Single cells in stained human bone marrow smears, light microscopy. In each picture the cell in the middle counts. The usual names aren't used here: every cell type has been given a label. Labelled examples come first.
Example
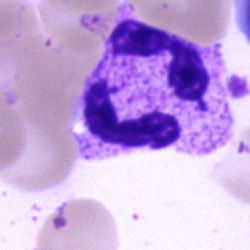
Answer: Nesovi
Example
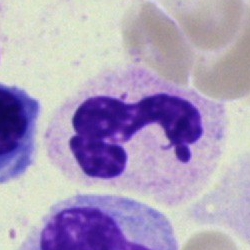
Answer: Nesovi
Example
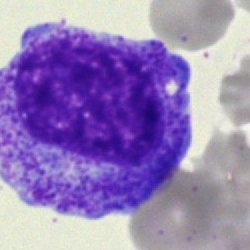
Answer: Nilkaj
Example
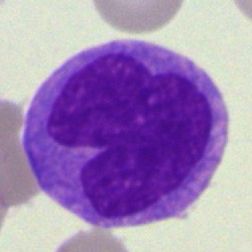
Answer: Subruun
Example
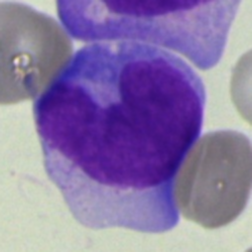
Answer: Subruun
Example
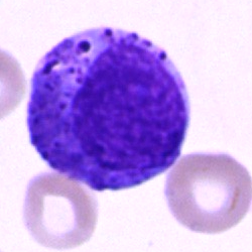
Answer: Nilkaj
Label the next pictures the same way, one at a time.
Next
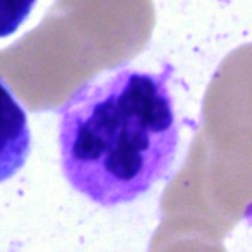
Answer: Nesovi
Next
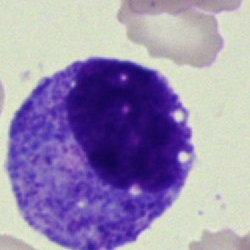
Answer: Nilkaj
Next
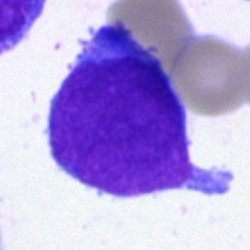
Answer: Subruun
